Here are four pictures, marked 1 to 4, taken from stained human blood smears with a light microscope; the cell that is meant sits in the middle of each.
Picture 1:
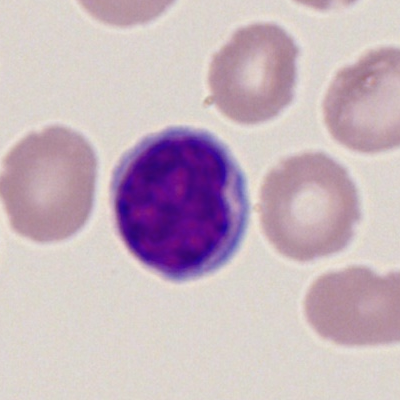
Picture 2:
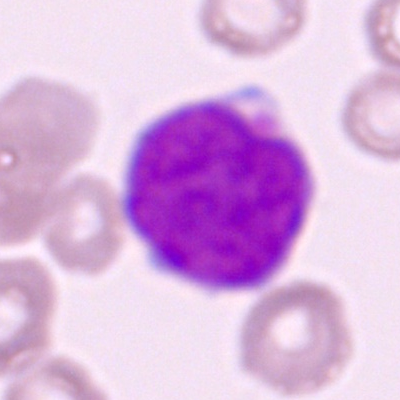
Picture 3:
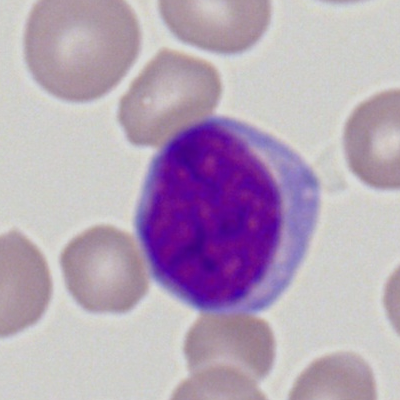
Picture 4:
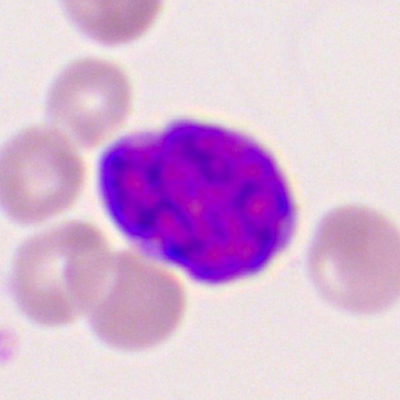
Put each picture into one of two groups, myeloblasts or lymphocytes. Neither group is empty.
1: lymphocyte
2: myeloblast
3: lymphocyte
4: myeloblast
